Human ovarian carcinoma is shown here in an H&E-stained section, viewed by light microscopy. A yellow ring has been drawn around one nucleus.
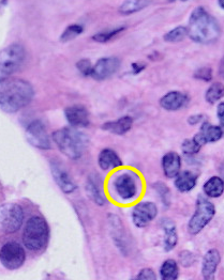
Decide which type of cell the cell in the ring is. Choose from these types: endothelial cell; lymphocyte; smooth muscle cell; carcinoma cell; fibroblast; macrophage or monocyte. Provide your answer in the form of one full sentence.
In terms of identity, the cell in the ring is a lymphocyte.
